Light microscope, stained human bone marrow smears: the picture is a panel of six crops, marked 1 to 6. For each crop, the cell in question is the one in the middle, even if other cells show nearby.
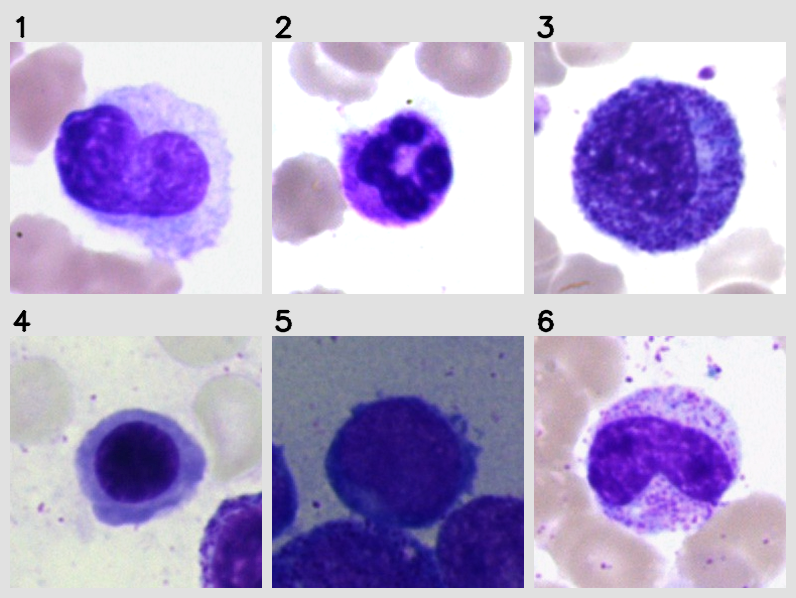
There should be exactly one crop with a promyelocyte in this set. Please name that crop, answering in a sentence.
Crop 3 is the one depicting a promyelocyte.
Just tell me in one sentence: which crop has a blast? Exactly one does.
Crop 5 is the crop whose central cell is a blast.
